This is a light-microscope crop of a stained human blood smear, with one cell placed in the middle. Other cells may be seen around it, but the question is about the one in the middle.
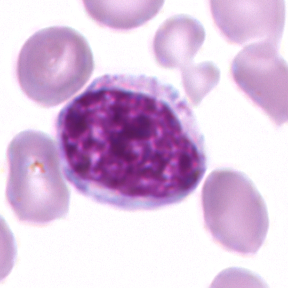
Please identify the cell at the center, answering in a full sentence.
The single cell at the center of the crop is a metamyelocyte.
